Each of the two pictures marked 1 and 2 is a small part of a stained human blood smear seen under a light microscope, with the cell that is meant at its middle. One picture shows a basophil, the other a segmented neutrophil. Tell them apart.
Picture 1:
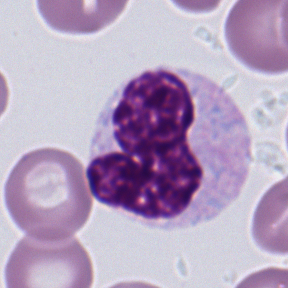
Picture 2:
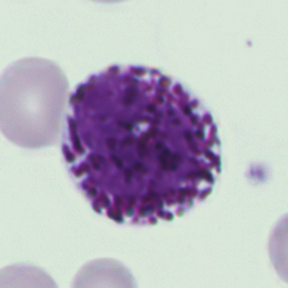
1: segmented neutrophil
2: basophil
